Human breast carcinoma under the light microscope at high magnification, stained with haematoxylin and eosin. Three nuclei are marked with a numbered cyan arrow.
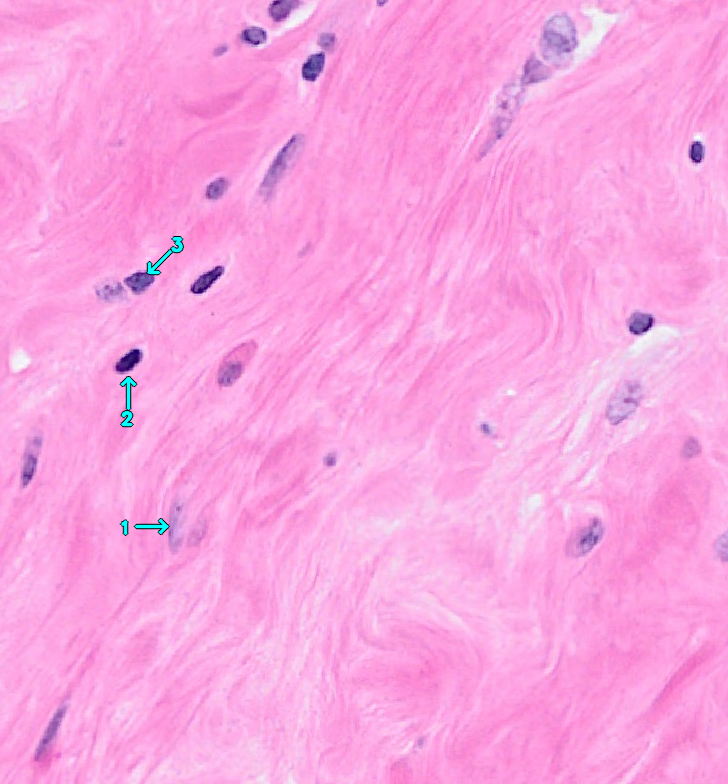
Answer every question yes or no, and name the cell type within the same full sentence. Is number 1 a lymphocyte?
No, the cell denoted 1 is a fibroblast rather than a lymphocyte.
